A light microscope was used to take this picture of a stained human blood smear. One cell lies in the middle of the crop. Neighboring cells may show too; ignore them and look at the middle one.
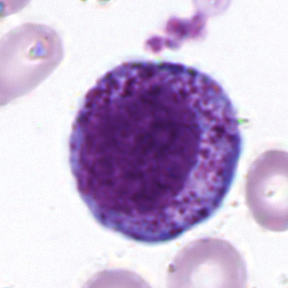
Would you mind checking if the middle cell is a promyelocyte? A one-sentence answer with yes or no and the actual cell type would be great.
Yes, the cell found in the center of the crop is a promyelocyte.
